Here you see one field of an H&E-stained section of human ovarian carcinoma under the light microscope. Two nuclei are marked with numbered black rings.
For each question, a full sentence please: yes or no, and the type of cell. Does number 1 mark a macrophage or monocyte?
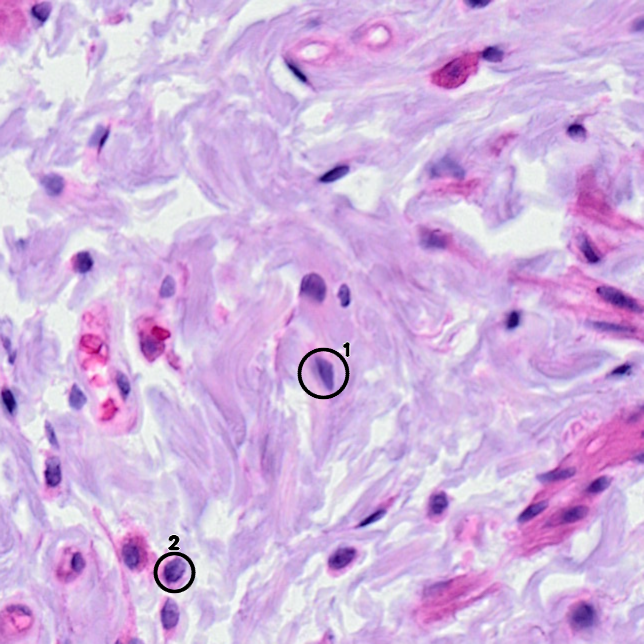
No, it is a fibroblast, rather than a macrophage or monocyte, that carries number 1.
